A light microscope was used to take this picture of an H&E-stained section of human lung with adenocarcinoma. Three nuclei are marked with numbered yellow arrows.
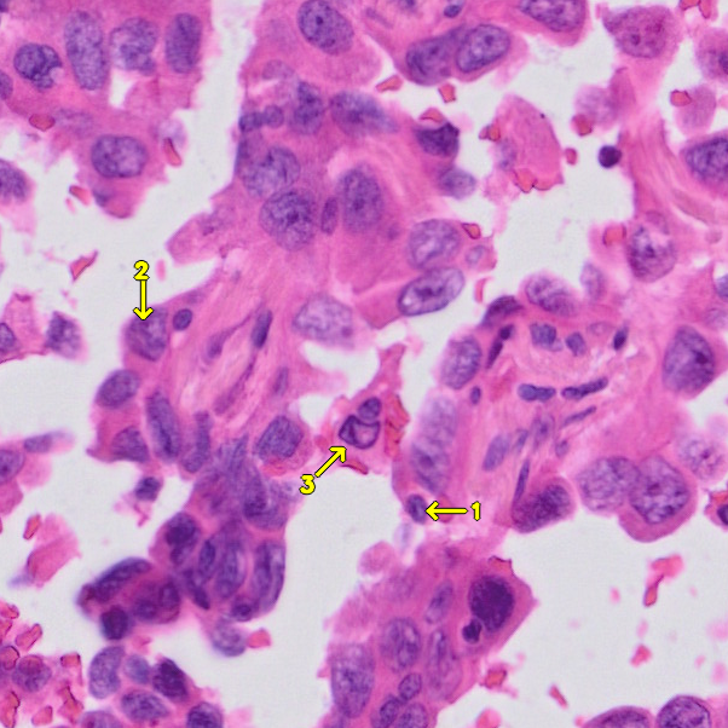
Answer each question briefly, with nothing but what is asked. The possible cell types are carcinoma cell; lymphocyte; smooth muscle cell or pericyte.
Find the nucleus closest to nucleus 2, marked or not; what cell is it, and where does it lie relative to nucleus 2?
a lymphocyte; above and to the right of nucleus 2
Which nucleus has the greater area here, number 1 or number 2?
2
